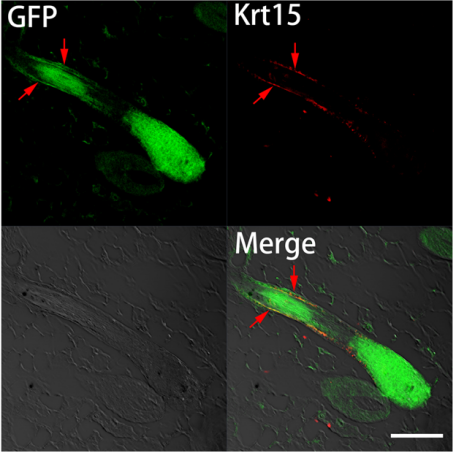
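Four views of the same field show an elongated structure with a narrow shaft that widens into a rounded, densely filled bulb at its lower end, set in loose tissue. In the red channel, only thin lines are seen running along the outer edges of the narrow part, and in the merged view these red lines sit at the margin of the green structure, overlapping it as a yellow-orange rim. The brightfield view shows the faint outline of the structure among surrounding tissue. This is a hair follicle, with the red lining marking its outer sheath.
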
